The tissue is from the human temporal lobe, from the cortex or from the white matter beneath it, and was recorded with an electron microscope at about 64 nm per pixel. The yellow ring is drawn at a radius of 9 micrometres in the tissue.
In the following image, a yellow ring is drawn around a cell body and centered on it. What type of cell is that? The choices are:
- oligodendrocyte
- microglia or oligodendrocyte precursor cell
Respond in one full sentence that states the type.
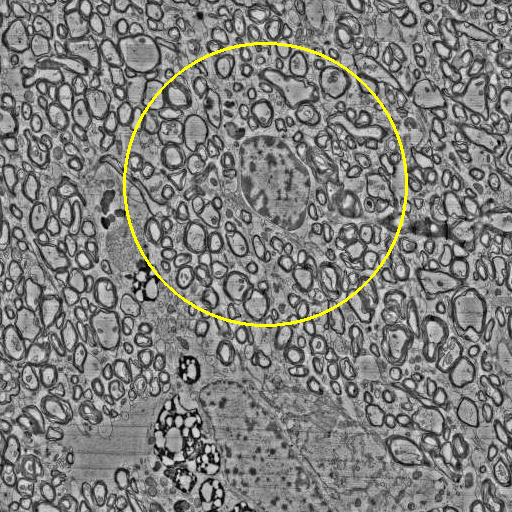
The cell at the center of the yellow ring in the image is a microglial cell or oligodendrocyte precursor cell.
